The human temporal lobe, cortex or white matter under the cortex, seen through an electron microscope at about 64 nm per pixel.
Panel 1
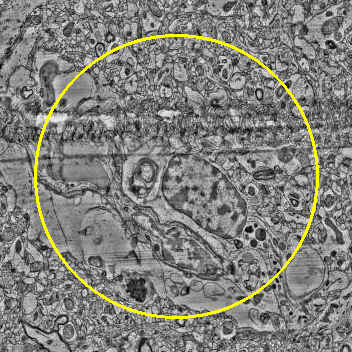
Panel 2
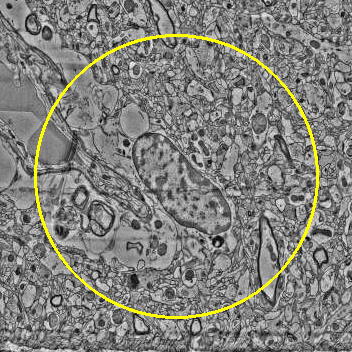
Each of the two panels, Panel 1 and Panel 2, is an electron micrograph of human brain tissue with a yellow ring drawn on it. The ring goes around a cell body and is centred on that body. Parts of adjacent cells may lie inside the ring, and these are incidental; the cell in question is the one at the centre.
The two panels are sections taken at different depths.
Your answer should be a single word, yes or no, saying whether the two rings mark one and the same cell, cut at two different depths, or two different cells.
yes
